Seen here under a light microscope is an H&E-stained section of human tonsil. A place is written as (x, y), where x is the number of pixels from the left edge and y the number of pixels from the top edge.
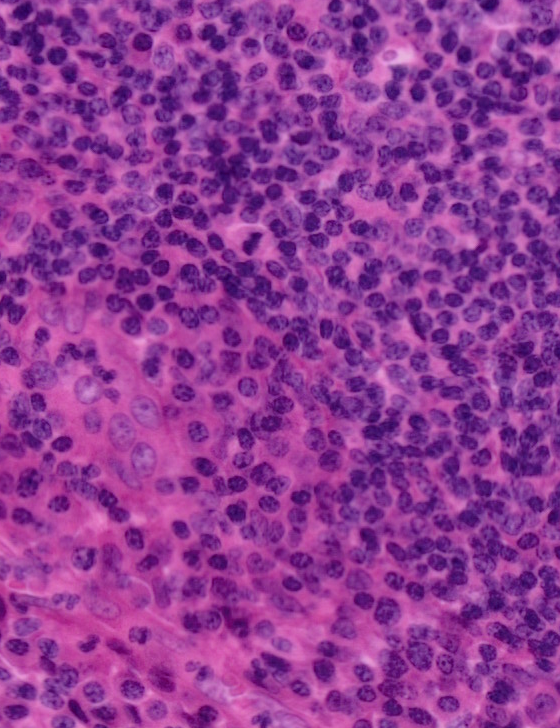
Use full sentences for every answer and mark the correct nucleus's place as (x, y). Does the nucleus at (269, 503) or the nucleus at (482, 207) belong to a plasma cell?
The nucleus at (269, 503) is part of a plasma cell, while the other is not.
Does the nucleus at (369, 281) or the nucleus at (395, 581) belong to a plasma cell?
In this pair, the nucleus at (395, 581) belongs to a plasma cell.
